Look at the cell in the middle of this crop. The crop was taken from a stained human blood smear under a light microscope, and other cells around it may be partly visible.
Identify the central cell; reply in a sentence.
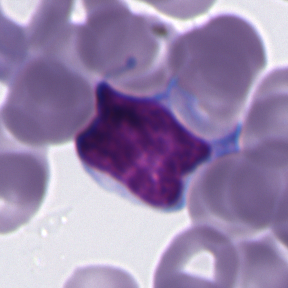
At the crop's centre, the cell is a lymphocyte.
